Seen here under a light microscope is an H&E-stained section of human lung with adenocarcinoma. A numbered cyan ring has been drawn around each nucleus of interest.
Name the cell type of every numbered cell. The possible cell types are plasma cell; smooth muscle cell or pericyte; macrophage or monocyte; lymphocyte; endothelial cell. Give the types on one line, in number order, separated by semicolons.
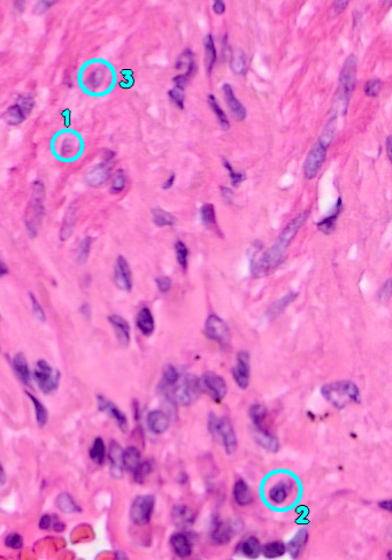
smooth muscle cell or pericyte; lymphocyte; smooth muscle cell or pericyte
